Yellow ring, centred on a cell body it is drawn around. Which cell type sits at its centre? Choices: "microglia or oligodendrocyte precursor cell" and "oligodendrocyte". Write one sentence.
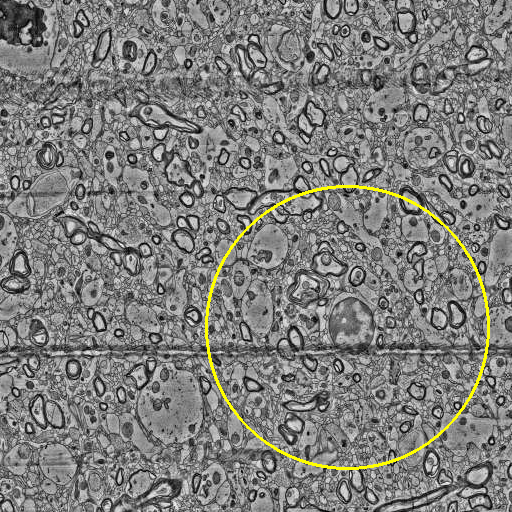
At the centre of the ring sits a microglial cell or oligodendrocyte precursor cell.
